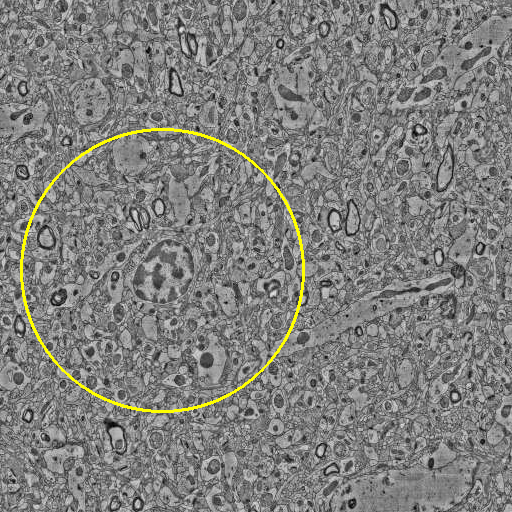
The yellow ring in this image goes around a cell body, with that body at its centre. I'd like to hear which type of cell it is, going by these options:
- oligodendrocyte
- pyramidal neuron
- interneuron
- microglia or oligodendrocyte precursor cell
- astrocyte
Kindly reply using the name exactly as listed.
microglia or oligodendrocyte precursor cell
